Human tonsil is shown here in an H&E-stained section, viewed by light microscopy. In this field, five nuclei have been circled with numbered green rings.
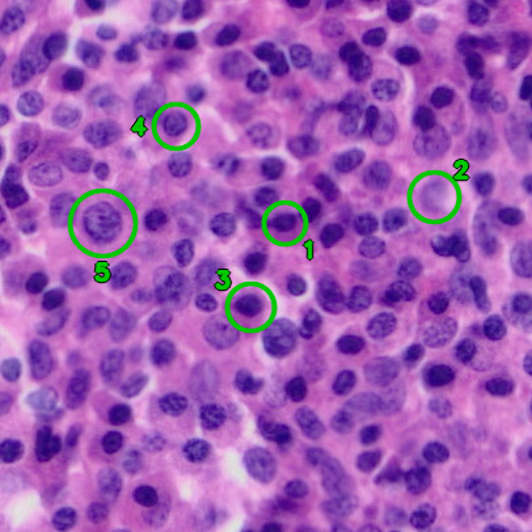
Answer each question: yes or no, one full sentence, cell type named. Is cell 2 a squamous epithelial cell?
Yes, the cell indicated by number 2 is a squamous epithelial cell.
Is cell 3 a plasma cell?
Yes, the cell sitting at number 3 is a plasma cell.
